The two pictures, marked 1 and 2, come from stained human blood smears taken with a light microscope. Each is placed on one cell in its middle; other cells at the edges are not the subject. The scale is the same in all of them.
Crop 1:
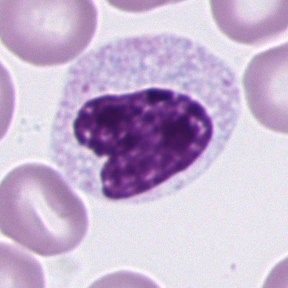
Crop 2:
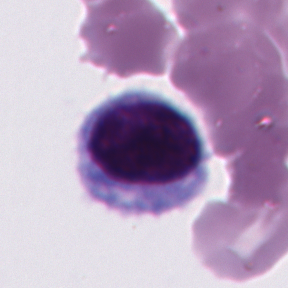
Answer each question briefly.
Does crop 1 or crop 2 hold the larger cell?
1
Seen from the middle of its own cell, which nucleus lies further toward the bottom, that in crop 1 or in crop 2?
1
